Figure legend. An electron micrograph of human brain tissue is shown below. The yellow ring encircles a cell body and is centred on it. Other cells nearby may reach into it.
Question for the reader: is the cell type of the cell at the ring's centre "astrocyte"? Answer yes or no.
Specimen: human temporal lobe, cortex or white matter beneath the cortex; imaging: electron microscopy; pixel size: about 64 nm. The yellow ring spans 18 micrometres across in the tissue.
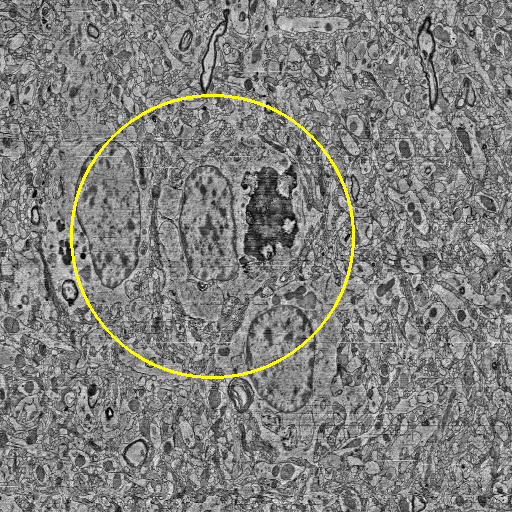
yes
